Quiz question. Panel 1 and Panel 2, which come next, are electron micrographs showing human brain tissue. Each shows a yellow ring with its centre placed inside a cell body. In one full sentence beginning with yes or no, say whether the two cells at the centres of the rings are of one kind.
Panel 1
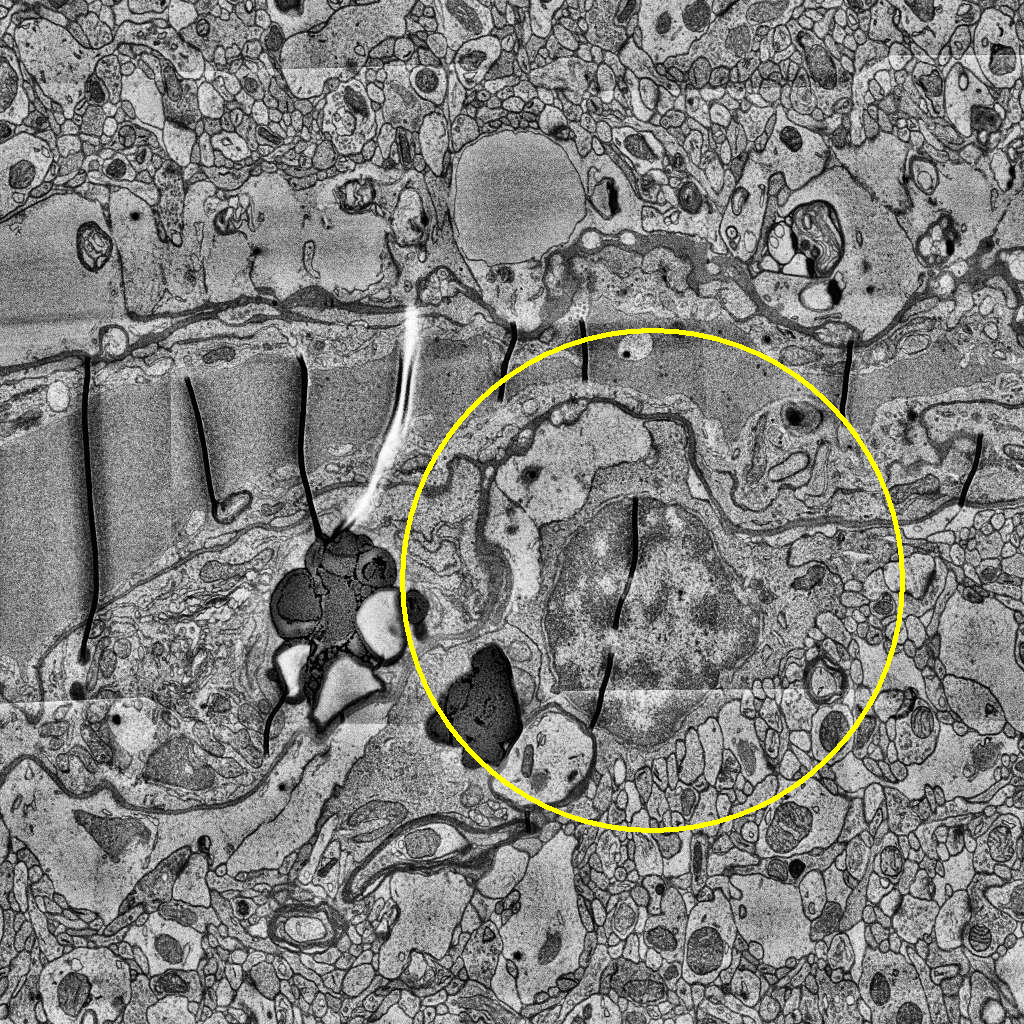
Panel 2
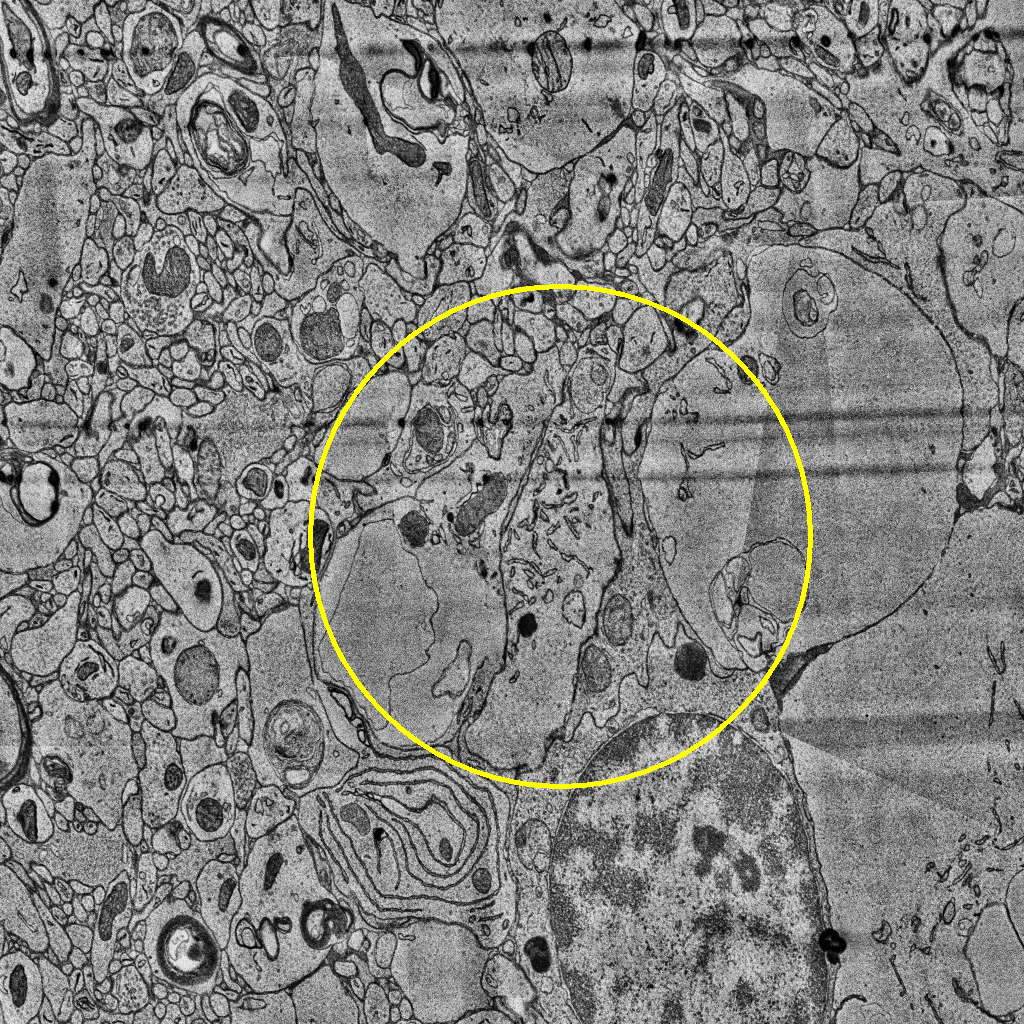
Yes, Panel 1 and Panel 2 show one kind of cell at the centre of the ring.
